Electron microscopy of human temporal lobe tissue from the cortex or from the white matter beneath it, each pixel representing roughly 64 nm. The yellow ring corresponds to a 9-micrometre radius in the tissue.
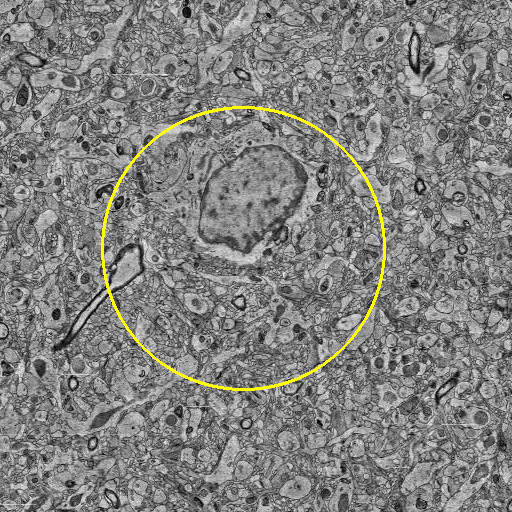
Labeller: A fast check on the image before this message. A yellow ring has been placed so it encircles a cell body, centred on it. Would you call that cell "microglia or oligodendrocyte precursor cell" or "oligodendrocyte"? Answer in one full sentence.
In this image, a microglial cell or oligodendrocyte precursor cell is the cell on which the yellow ring is centred.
